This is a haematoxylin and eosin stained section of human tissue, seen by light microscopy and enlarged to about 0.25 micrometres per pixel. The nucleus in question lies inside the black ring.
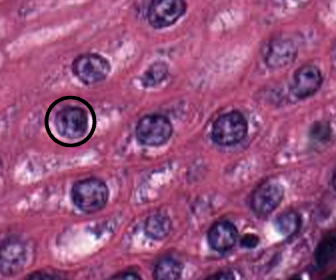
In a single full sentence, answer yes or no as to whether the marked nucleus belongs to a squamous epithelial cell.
Yes, the marked nucleus is in a squamous epithelial cell.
